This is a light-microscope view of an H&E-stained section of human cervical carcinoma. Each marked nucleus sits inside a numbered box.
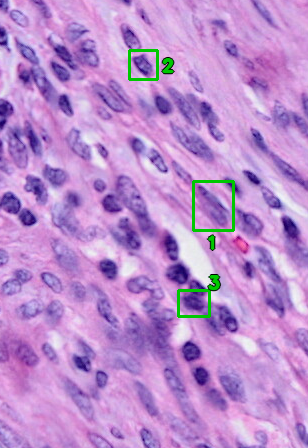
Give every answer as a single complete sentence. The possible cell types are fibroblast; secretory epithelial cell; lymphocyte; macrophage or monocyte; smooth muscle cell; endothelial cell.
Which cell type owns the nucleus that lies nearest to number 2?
The nucleus nearest to number 2 is that of a macrophage or monocyte.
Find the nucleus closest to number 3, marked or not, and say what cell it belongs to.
The nucleus nearest to number 3 is that of a lymphocyte.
